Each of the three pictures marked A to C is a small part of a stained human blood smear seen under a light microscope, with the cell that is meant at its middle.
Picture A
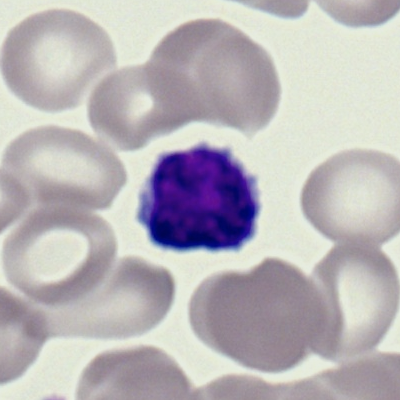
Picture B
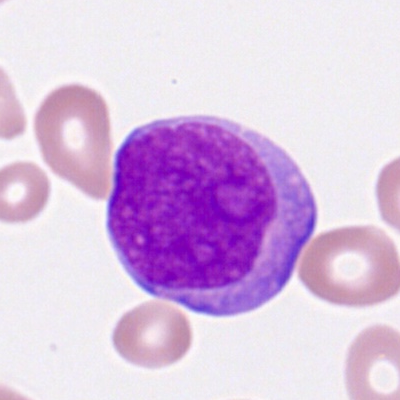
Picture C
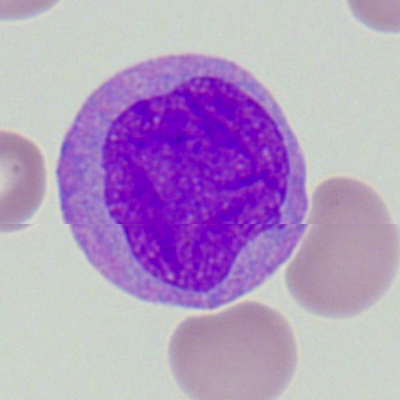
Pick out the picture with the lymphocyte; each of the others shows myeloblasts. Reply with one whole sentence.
It is picture A that shows the lymphocyte.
